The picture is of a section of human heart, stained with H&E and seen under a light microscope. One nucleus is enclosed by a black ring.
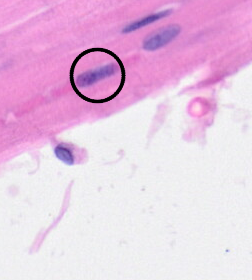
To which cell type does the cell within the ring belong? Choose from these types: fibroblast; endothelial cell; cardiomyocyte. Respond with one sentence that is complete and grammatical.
Histopathologically, the cell within the ring is an endothelial cell.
